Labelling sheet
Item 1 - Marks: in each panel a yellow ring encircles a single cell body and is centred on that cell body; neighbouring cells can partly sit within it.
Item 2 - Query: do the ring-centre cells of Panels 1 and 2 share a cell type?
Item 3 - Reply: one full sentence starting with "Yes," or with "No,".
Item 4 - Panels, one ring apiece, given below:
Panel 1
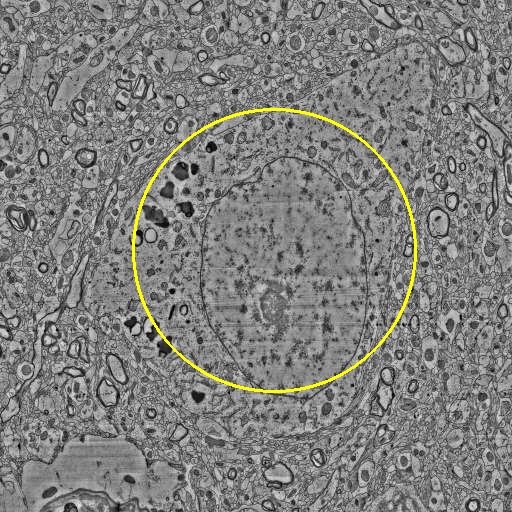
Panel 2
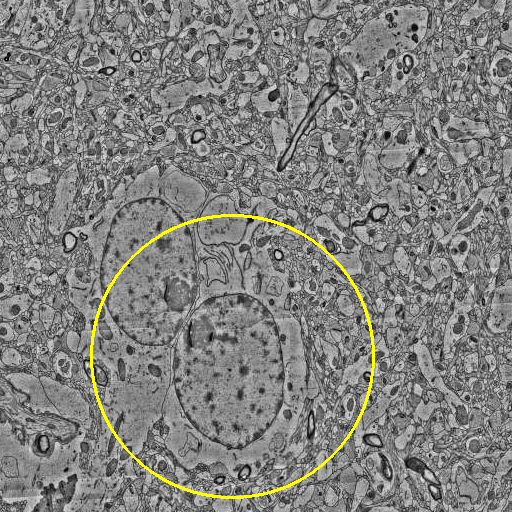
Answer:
No, Panel 1 and Panel 2 show two cell types at the centres of their rings.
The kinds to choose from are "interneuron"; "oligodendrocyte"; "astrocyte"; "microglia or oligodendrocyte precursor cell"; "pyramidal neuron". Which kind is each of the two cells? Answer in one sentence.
Of the two, the first cell is a pyramidal neuron and the second cell is an astrocyte.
